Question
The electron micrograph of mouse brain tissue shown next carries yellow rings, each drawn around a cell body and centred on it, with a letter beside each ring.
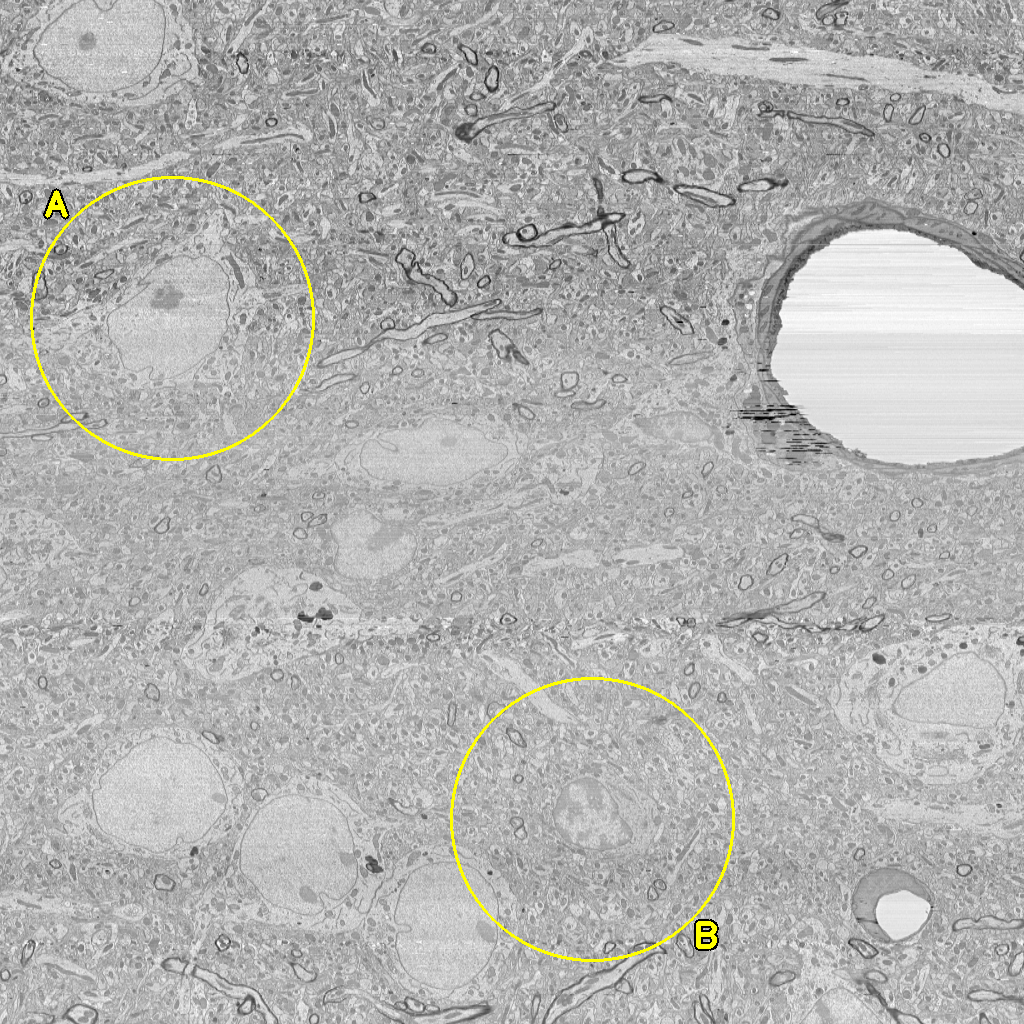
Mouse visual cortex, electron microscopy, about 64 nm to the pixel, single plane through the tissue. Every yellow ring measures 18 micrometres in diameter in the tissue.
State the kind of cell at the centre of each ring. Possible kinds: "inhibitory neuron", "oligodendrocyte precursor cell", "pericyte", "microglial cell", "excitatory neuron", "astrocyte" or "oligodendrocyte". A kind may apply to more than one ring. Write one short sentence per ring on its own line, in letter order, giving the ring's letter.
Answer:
The cell centred in ring A is an excitatory neuron.
The cell centred in ring B is an oligodendrocyte.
